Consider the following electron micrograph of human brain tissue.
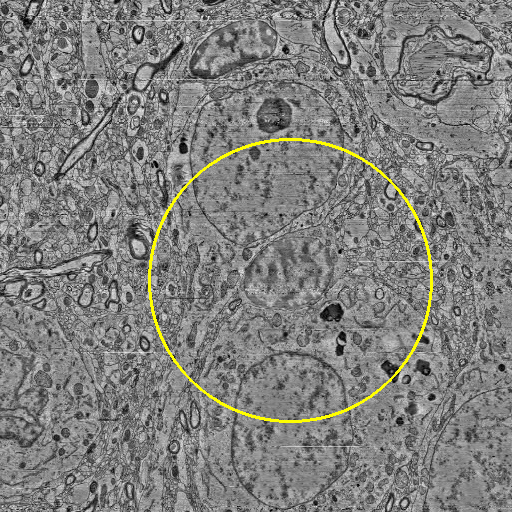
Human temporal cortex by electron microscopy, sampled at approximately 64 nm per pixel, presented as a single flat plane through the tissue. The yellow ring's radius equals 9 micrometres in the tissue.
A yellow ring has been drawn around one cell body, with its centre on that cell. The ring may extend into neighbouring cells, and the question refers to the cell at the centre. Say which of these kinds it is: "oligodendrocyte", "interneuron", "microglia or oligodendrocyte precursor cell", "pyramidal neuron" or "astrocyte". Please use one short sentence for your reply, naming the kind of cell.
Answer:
The centre of the ring falls on an oligodendrocyte.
